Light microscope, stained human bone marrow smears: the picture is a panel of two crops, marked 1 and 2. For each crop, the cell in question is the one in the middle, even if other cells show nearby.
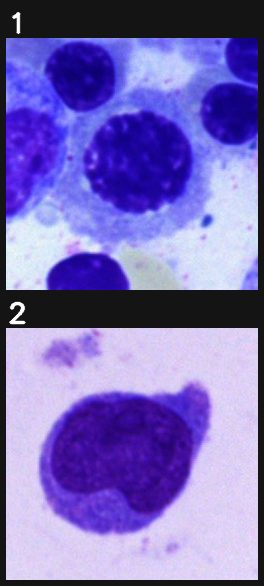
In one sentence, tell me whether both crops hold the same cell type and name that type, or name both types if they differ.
No, crop 1 displays an erythroblast, and crop 2 displays a blast.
